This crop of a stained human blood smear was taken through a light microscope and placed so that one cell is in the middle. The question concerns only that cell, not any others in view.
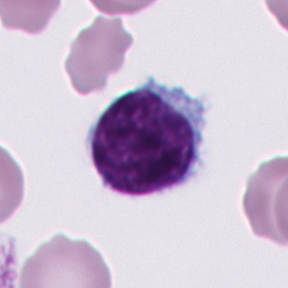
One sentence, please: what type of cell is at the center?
Regarding the central cell, it is a hairy cell.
